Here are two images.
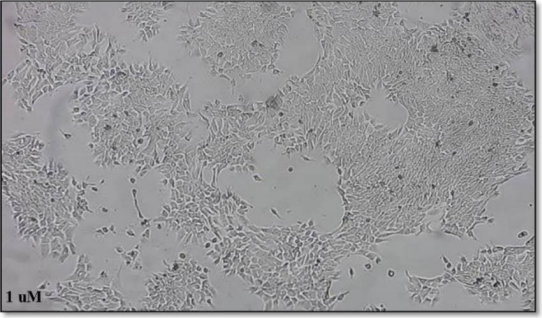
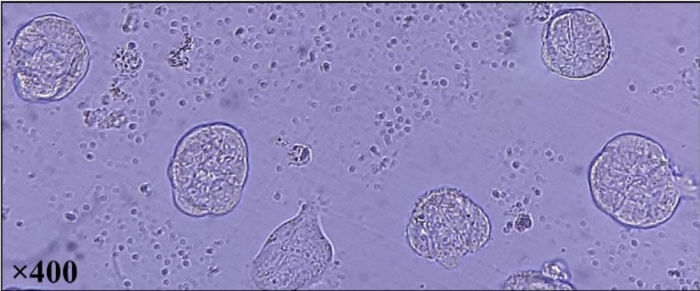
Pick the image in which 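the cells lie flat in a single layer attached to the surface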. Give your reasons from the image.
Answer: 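Second image: cells are packed into rounded three-dimensional clusters floating free. First image: cells are spread flat in monolayer patches with spindle and polygonal outlines.
Hence: the first image.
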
